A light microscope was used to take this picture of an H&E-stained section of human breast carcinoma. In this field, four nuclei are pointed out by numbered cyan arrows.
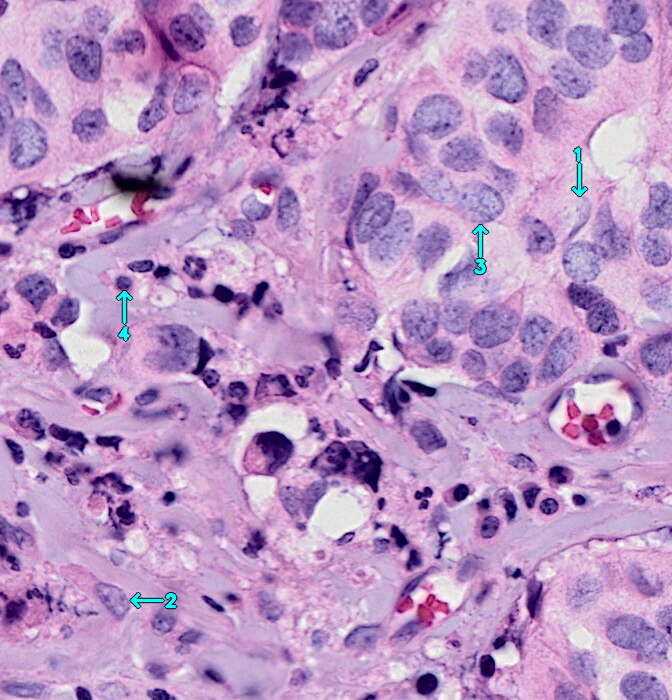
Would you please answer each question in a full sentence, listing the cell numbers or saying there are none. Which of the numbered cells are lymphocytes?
Among the marked and numbered cells, lymphocytes do not occur.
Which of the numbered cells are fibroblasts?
Only the cell carrying number 2 is a fibroblast.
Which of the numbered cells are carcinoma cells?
The cells carrying the numbers 1 and 3 are carcinoma cells.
